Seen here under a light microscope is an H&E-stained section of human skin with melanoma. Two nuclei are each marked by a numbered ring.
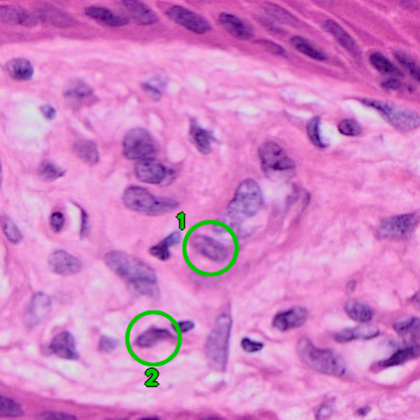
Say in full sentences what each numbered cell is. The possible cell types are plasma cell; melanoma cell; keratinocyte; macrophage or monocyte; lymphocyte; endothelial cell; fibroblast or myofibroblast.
Cell 1 is an endothelial cell and cell 2 is a fibroblast or myofibroblast.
